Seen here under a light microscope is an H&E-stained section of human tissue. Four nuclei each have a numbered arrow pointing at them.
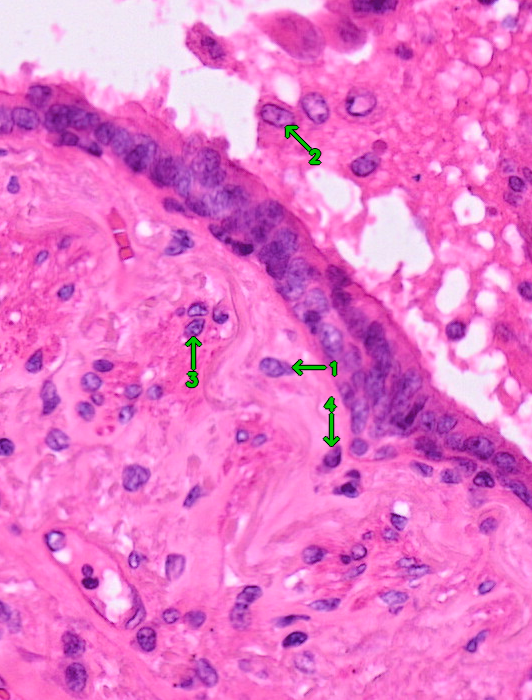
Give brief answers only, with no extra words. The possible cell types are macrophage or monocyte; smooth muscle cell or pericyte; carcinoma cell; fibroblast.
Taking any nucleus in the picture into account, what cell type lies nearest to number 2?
macrophage or monocyte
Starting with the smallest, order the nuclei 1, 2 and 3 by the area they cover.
3, 1, 2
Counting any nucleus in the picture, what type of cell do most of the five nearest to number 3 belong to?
smooth muscle cell or pericyte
